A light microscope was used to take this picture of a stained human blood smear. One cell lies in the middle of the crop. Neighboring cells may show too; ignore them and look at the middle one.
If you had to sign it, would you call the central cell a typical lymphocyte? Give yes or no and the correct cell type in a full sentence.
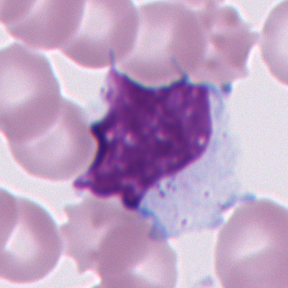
No, the centered cell is a large granular lymphocyte and not a typical lymphocyte at all.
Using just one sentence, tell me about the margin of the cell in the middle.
Its surface contour departs from smoothness through ragged edges or outward projections.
